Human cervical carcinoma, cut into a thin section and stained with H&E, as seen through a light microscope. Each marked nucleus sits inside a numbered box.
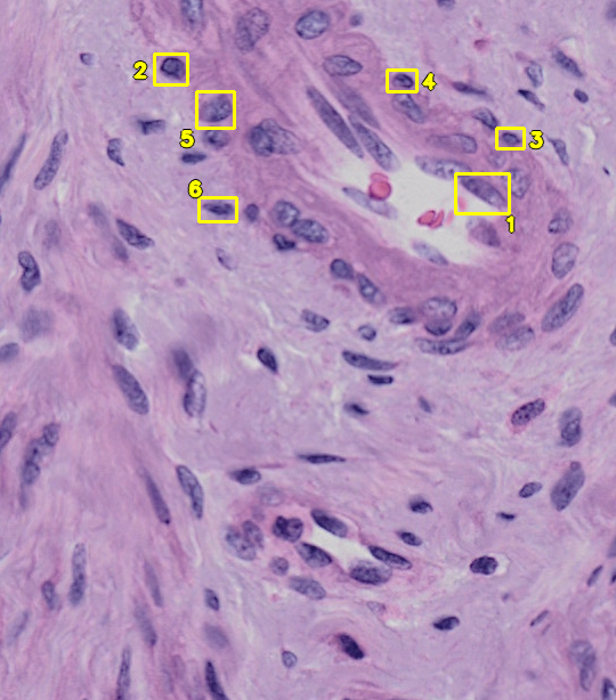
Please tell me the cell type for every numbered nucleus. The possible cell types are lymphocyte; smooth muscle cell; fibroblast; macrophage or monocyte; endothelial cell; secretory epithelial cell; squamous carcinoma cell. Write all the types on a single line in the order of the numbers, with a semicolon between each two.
endothelial cell; smooth muscle cell; smooth muscle cell; smooth muscle cell; smooth muscle cell; fibroblast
